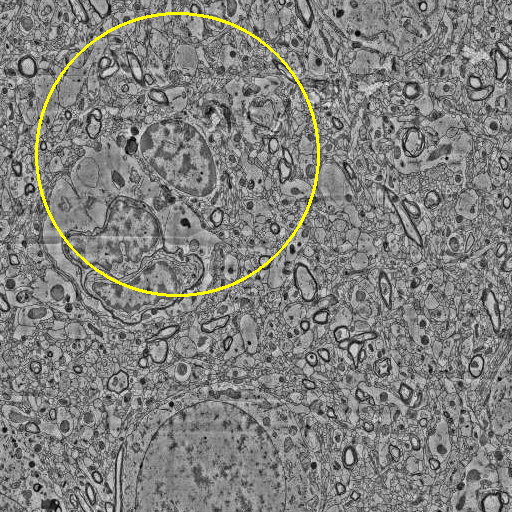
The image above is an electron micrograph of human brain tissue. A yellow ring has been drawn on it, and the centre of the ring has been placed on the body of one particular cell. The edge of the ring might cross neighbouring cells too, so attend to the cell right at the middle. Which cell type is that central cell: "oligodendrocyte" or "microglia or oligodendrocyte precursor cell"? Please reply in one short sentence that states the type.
The central cell in the ring is a microglial cell or oligodendrocyte precursor cell.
